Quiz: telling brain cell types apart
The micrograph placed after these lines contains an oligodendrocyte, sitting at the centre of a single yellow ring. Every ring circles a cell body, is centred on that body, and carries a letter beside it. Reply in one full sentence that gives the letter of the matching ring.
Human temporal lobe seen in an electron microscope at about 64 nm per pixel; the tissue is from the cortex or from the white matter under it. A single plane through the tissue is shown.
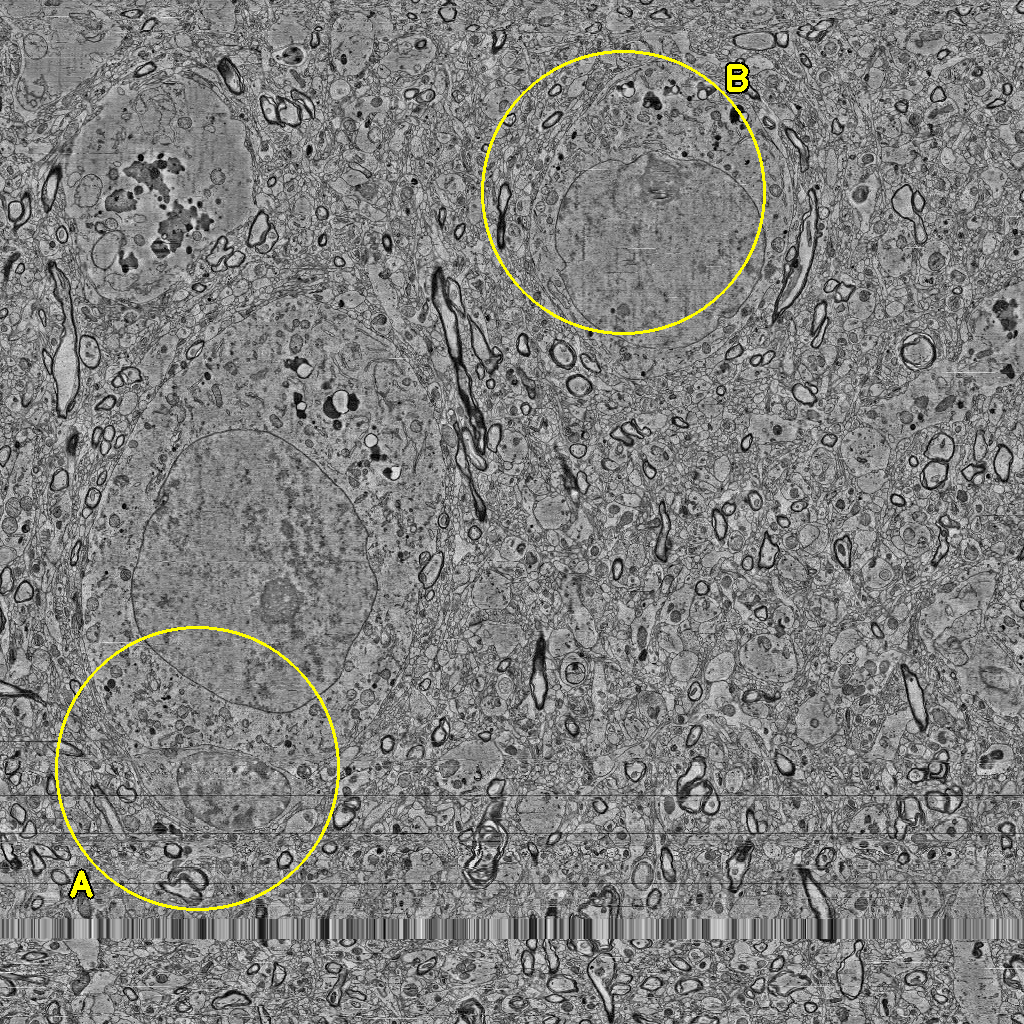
The cell asked for lies at the centre of ring A in the picture.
